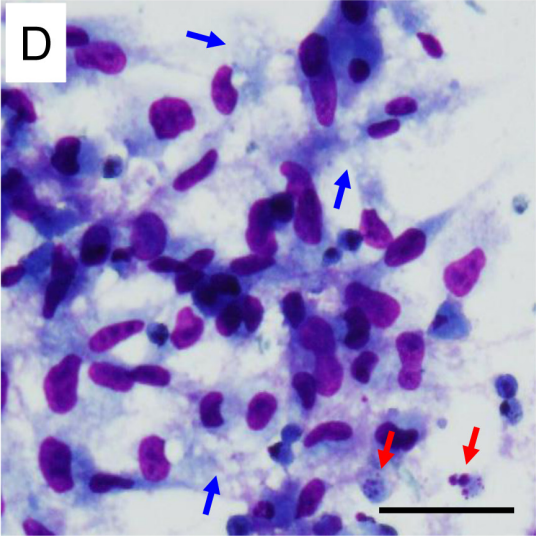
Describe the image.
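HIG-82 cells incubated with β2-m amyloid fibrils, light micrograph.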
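Injured cultured spindle cells lie in an irregular, crowded cluster, many with small, very dark, condensed nuclei beside others with paler oval or bent purple nuclei. The blue cytoplasm is swollen, frothy and vacuolated, spreading in ragged sheets without clear cell borders. A few cells show their nucleus broken into several small dark fragments.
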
